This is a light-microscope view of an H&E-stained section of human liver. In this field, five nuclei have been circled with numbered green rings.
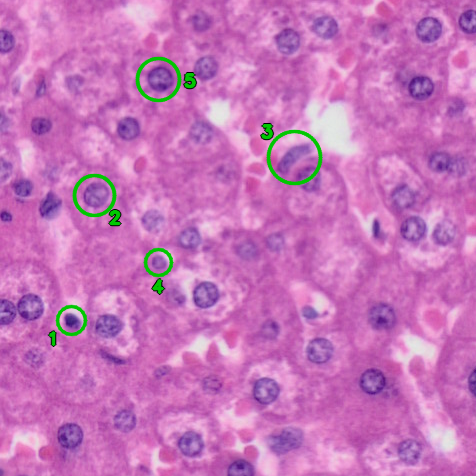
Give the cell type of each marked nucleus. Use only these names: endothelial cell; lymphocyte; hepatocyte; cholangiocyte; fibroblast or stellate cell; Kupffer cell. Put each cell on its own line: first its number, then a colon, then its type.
1: lymphocyte
2: hepatocyte
3: Kupffer cell
4: Kupffer cell
5: hepatocyte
